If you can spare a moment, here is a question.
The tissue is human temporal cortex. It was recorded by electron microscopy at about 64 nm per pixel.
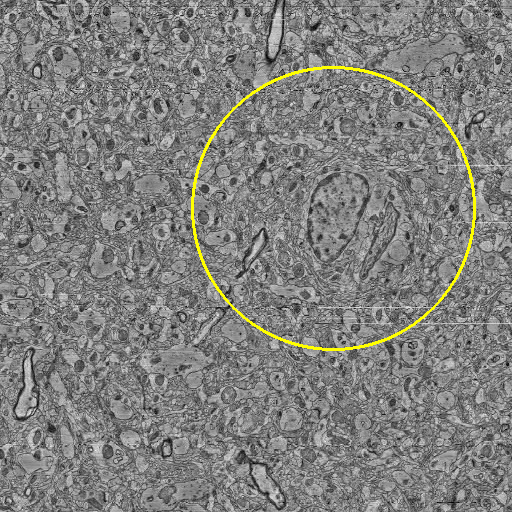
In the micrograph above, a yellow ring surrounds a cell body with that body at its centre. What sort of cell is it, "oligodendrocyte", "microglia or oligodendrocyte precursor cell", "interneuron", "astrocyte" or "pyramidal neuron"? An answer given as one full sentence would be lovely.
Centred inside the yellow ring, the cell body shown belongs to a microglial cell or oligodendrocyte precursor cell in this micrograph.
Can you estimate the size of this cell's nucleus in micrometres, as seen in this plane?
About 6 by 4 micrometers; the nucleus is clearly longer than it is wide in this plane.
